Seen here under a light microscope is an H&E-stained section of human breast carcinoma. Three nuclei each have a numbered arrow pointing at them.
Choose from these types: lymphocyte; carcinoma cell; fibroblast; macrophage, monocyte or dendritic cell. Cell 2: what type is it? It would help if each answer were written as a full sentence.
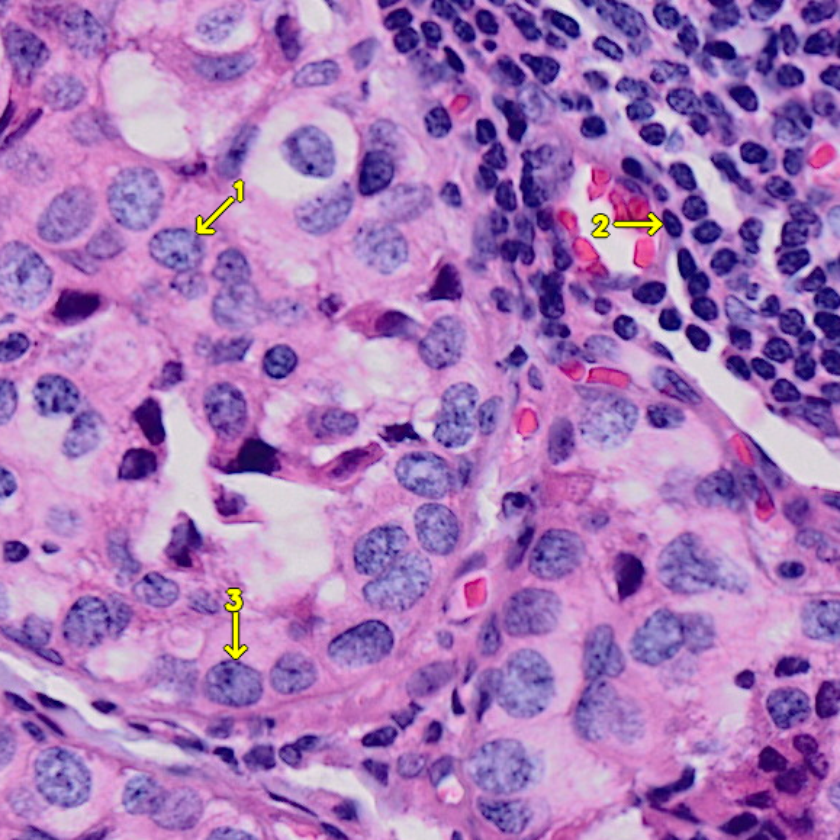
The nucleus marked 2 is the nucleus of a lymphocyte.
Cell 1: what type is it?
The nucleus labelled 1 belongs to a carcinoma cell.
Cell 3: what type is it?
The cell to which the number 3 is assigned is a carcinoma cell.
